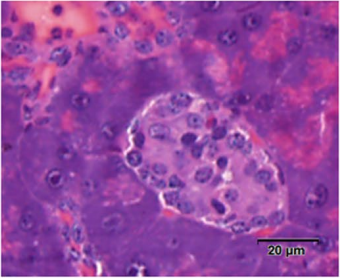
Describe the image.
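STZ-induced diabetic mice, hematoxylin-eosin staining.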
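This is pancreatic tissue with an oval, sharply bounded group of pale cells set within darker purple glandular tissue. The cells in the group have round to oval nuclei, many with visible nucleoli, and pale, somewhat clear cytoplasm. The surrounding glandular cells have round nuclei and deeply stained purple cytoplasm with pinker patches.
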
